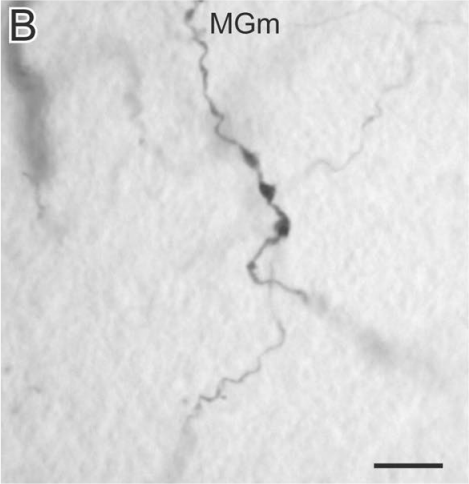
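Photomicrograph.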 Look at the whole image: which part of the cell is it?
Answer: en-passant boutons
